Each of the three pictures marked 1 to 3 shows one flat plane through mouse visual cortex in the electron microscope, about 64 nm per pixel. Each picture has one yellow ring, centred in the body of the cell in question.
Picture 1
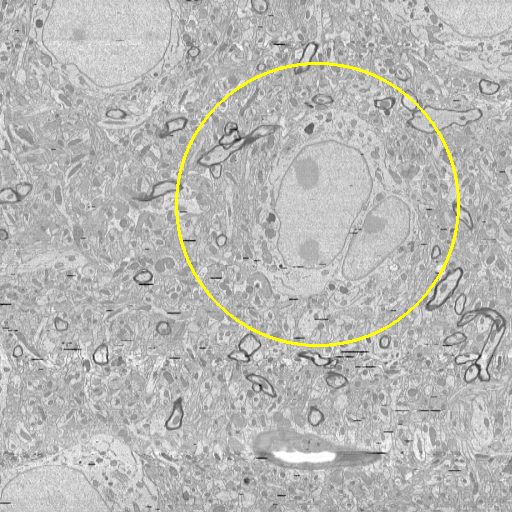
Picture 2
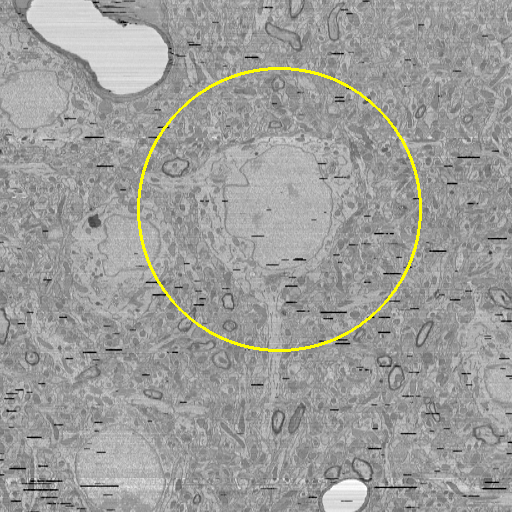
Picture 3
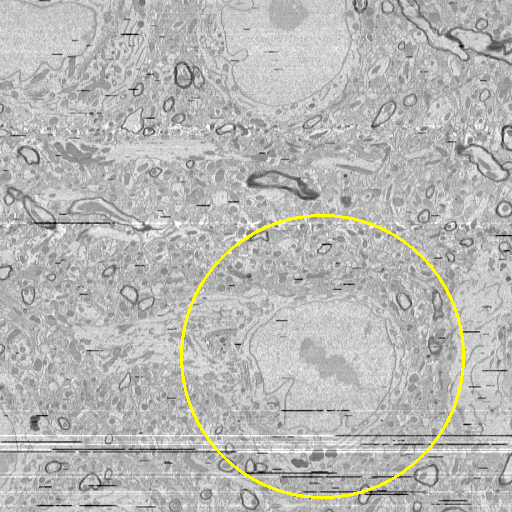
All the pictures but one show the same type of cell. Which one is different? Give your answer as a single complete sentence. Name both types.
The different one is picture 3; it shows an inhibitory neuron, whereas all the others show excitatory neurons.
